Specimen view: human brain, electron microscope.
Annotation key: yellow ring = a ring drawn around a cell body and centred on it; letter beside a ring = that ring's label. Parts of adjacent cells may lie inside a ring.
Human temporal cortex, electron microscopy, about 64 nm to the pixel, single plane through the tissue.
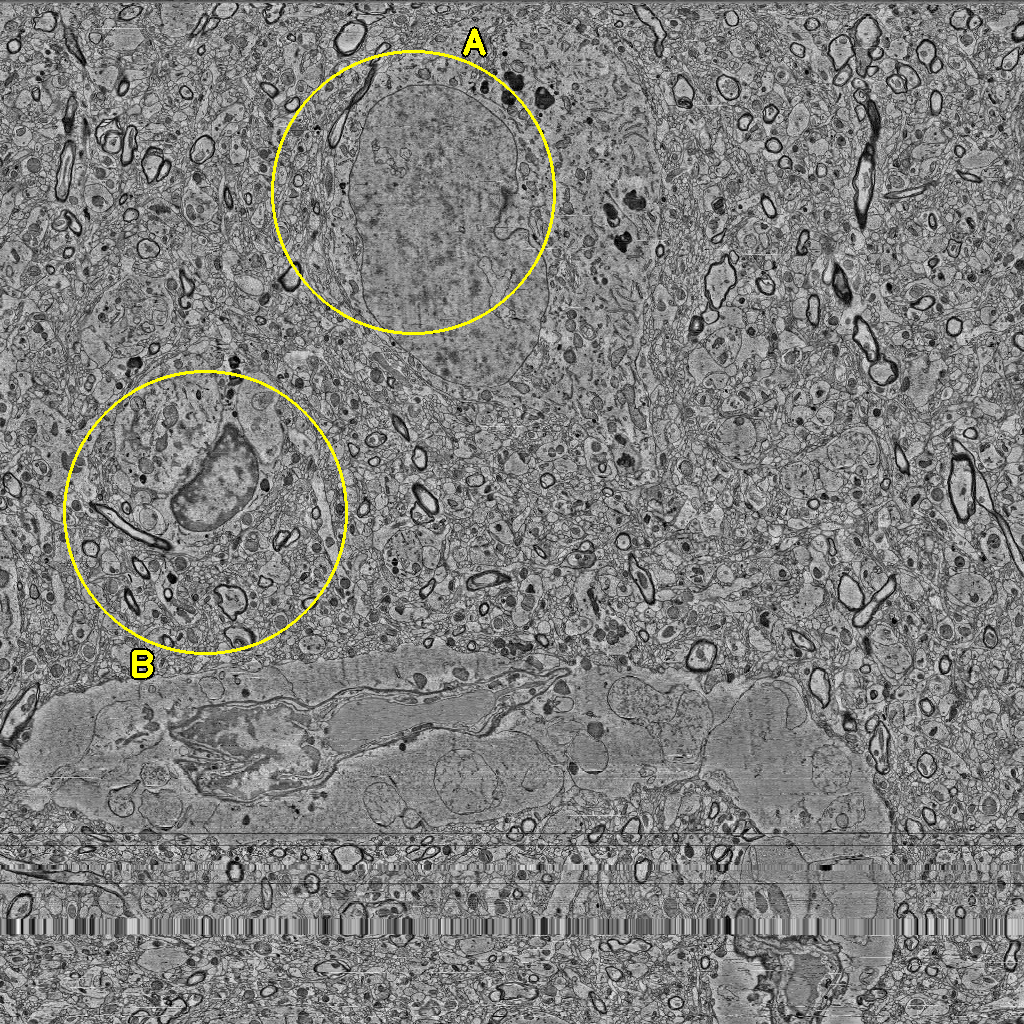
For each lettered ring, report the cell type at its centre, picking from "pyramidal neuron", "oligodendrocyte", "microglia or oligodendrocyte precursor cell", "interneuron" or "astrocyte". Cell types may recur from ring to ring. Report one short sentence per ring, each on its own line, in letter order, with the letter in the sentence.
The cell at the centre of ring A is a pyramidal neuron.
The cell at the centre of ring B is a microglial cell or oligodendrocyte precursor cell.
